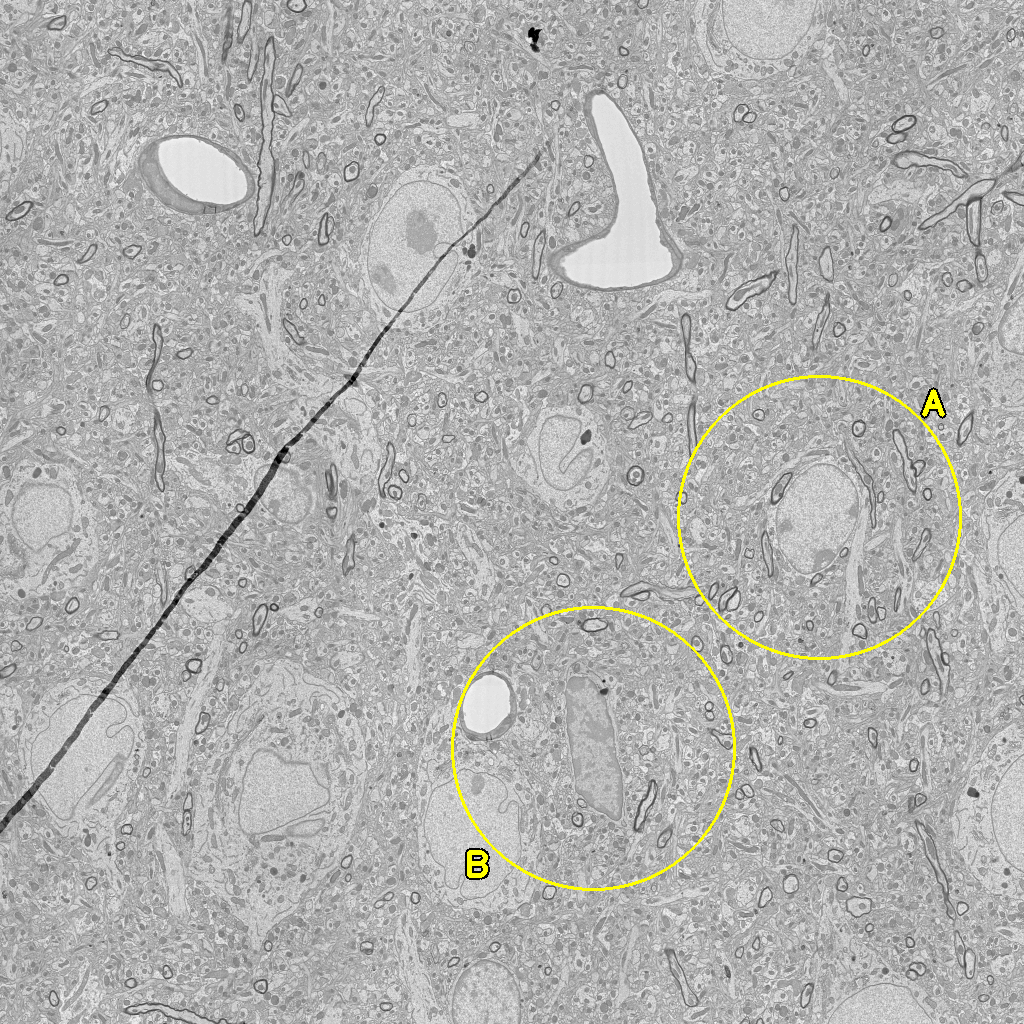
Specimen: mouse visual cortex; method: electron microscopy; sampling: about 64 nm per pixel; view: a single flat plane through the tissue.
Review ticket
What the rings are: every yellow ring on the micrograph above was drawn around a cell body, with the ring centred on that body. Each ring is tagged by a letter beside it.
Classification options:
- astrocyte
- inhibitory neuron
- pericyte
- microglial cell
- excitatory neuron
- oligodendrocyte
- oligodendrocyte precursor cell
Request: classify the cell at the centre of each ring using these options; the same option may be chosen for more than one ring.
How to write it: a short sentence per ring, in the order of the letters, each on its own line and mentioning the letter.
The cell centred in ring A is an astrocyte.
The cell centred in ring B is a microglial cell.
